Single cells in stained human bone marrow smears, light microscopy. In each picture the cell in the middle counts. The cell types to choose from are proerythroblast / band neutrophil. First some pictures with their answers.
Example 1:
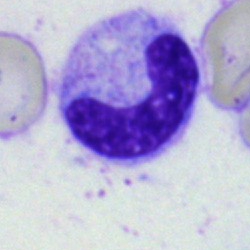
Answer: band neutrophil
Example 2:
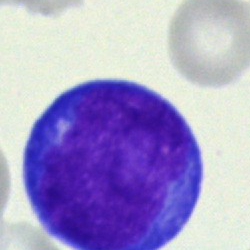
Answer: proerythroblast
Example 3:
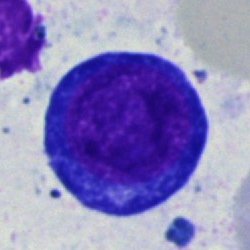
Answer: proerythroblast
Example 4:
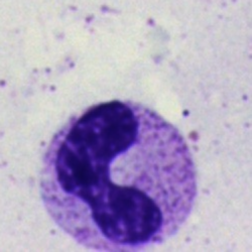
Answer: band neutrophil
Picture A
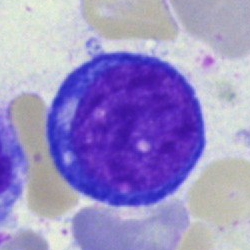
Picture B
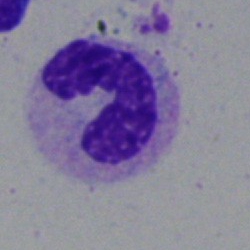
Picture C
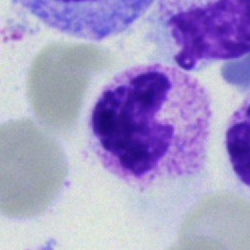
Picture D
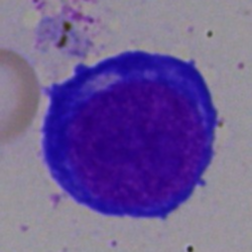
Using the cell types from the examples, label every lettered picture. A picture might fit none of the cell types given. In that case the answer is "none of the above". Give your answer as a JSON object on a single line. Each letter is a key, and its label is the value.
{"A": "proerythroblast", "B": "none of the above", "C": "band neutrophil", "D": "proerythroblast"}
